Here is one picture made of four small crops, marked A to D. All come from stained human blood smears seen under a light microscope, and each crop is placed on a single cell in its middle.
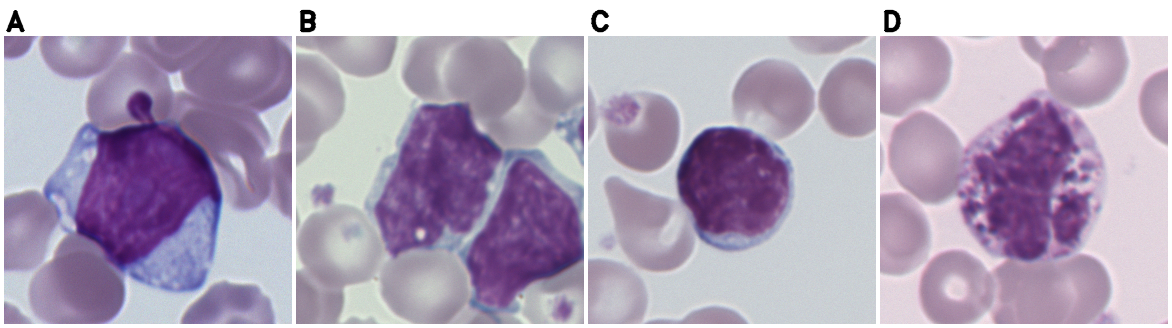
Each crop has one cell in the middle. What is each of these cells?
A: blast
B: lymphocyte
C: lymphocyte
D: basophil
